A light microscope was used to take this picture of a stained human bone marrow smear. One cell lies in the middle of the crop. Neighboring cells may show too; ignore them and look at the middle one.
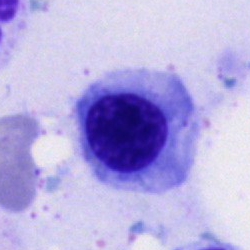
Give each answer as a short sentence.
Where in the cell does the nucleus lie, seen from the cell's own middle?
The nucleus lies toward the left of the cell.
